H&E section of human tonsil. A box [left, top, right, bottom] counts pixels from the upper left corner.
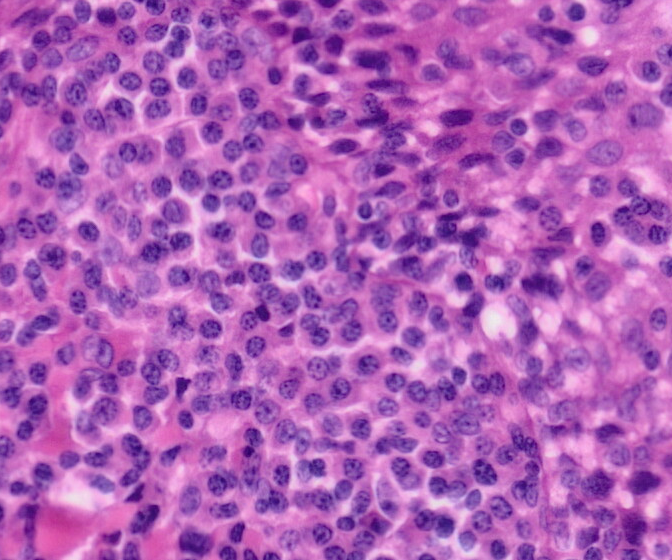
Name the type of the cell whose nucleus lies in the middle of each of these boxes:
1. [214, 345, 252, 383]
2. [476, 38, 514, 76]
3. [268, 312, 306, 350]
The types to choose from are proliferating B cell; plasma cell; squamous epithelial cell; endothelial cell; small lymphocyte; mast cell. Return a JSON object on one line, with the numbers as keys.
{"1": "plasma cell", "2": "squamous epithelial cell", "3": "plasma cell"}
